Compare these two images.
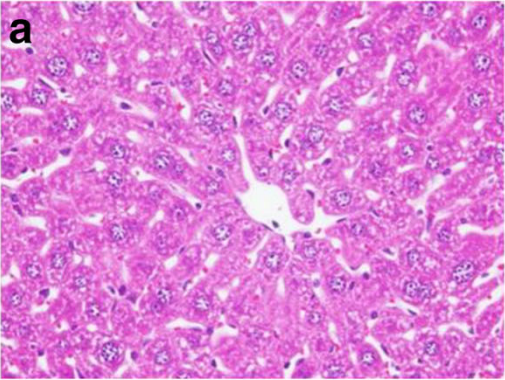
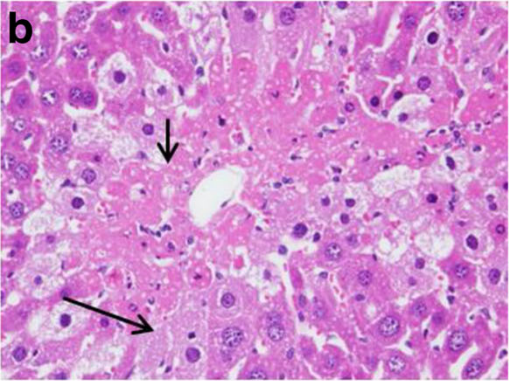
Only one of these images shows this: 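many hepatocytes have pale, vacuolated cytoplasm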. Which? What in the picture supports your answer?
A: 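The second image. Second image: many hepatocytes around the vein are swollen with pale, foamy cytoplasm. First image: hepatocytes have evenly pink cytoplasm without clear vacuoles.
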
